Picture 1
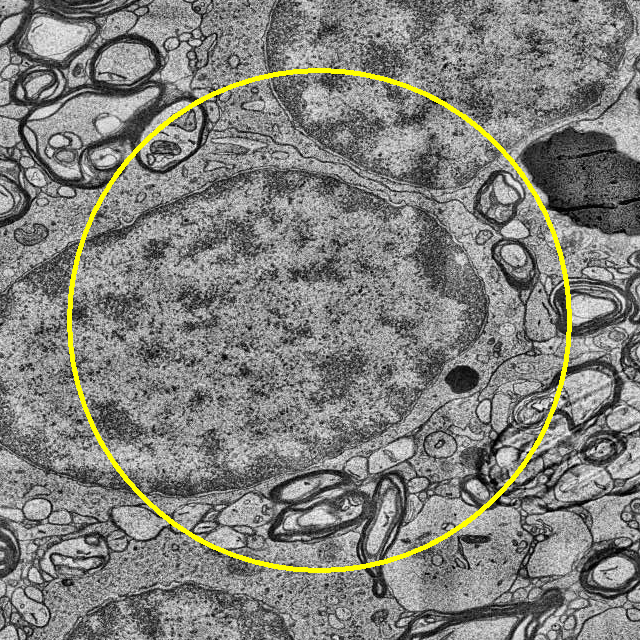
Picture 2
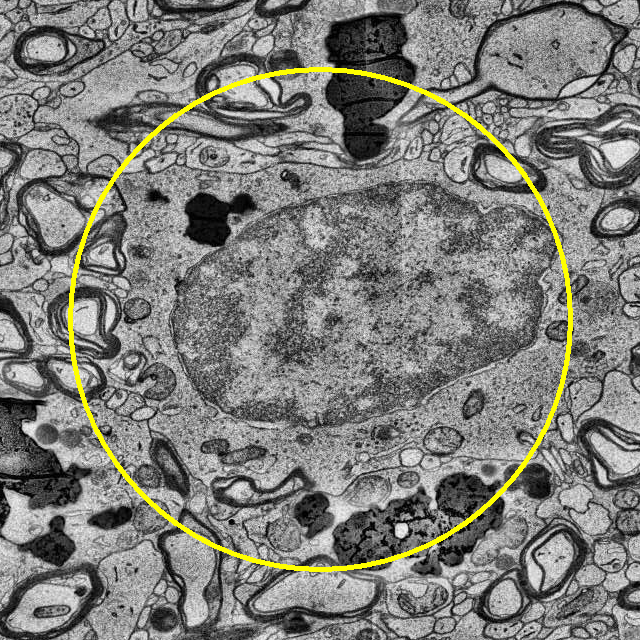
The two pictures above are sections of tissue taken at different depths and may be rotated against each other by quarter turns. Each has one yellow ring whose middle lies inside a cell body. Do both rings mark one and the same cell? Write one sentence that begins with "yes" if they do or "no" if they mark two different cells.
Yes, the two rings refer to one cell in the tissue.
